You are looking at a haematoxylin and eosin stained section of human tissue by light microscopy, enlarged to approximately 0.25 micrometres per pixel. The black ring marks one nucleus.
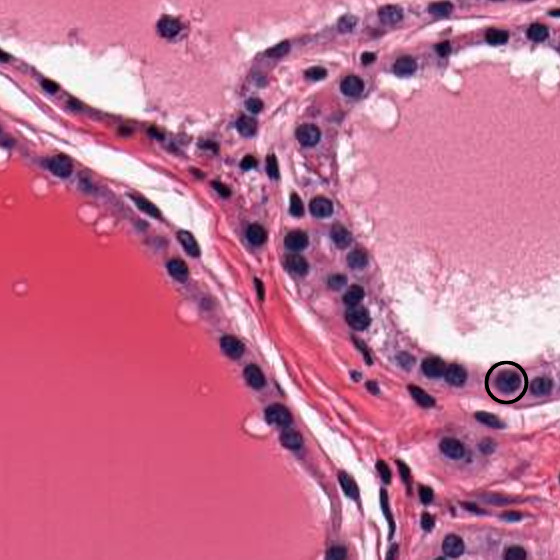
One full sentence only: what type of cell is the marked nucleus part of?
The marked nucleus is that of a thyroid follicular cell.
